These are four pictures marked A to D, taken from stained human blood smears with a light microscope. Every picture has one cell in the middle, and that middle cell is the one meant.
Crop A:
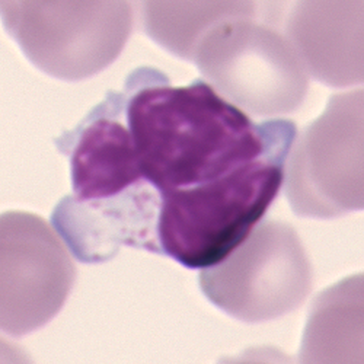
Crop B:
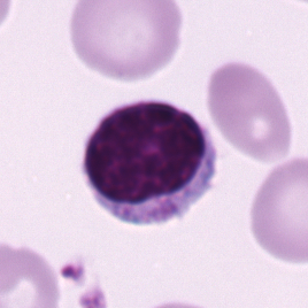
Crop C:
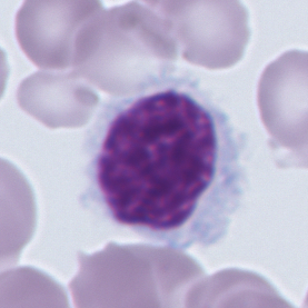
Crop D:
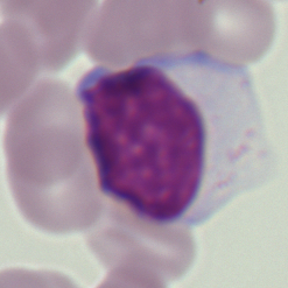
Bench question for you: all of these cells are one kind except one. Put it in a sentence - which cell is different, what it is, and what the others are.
Crop C is not like the others: it is a hairy cell, and they are large granular lymphocytes.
